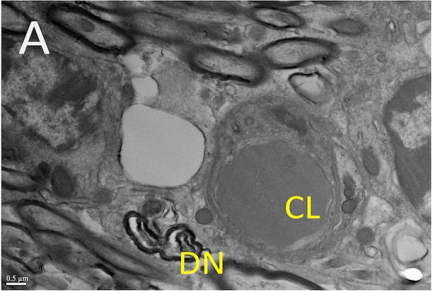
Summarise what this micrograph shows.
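The capillary appears as a round profile with homogeneous grey content enclosed by a thin cellular wall. Next to it lies a large, pale, empty-looking round vesicle. At the lower left a dystrophic neuron shows as a small cluster of dark, whorled, folded membranes. Several dark myelinated profiles lie in the upper left.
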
